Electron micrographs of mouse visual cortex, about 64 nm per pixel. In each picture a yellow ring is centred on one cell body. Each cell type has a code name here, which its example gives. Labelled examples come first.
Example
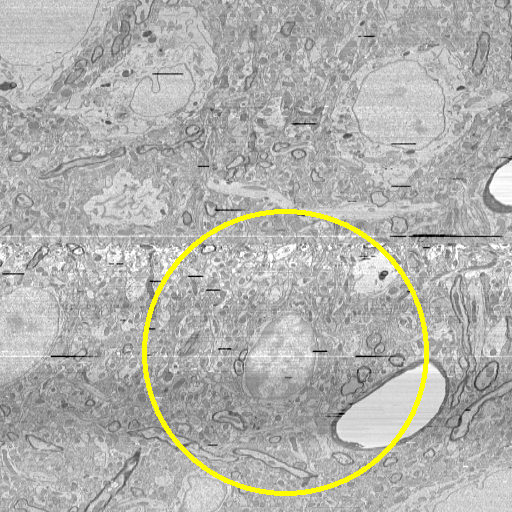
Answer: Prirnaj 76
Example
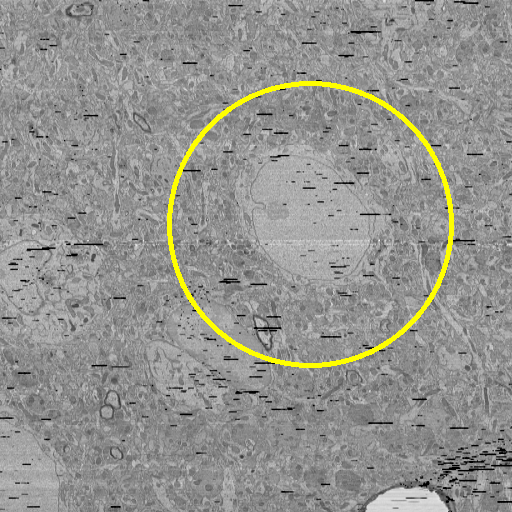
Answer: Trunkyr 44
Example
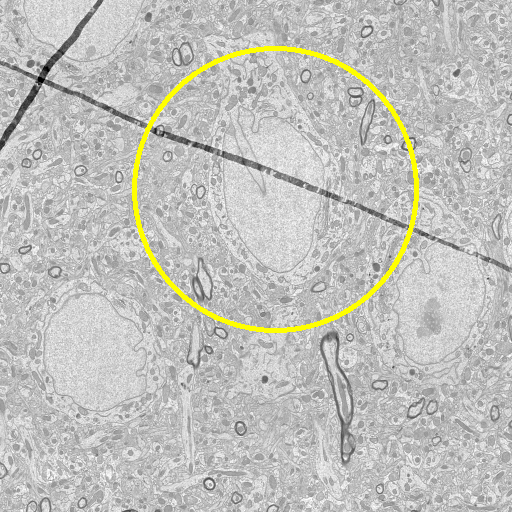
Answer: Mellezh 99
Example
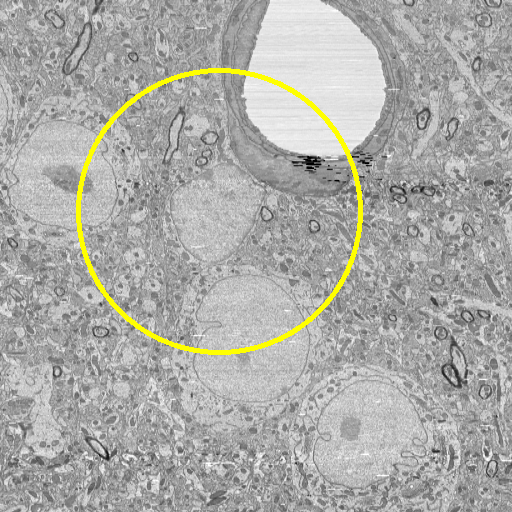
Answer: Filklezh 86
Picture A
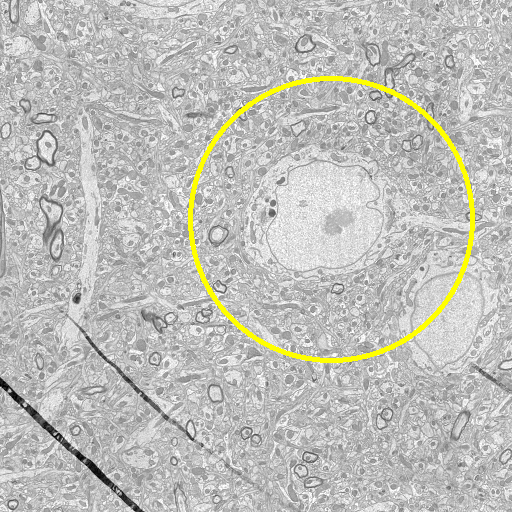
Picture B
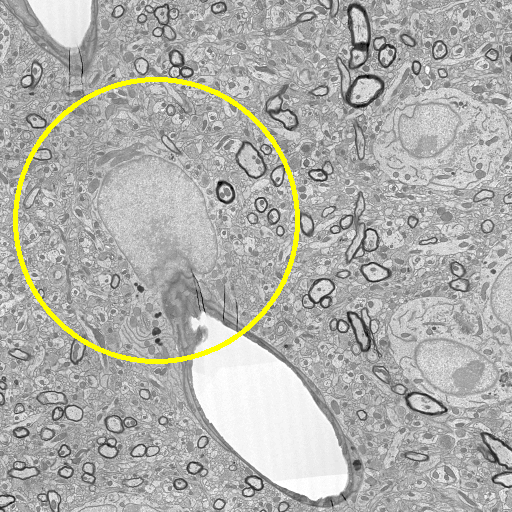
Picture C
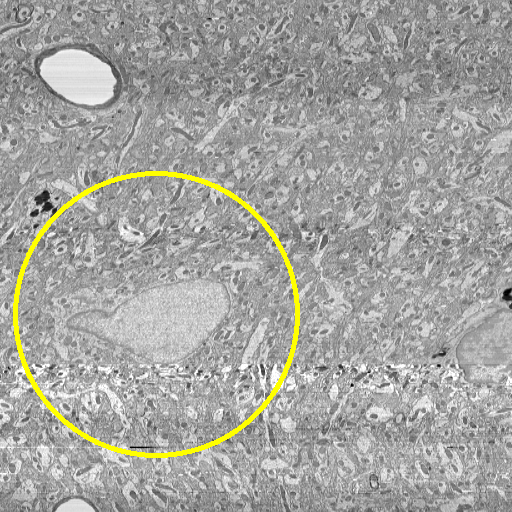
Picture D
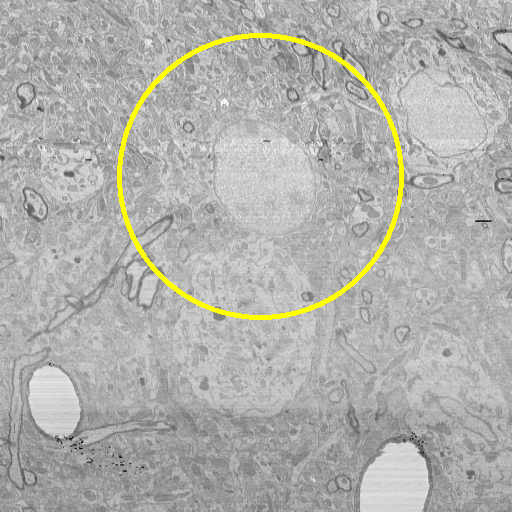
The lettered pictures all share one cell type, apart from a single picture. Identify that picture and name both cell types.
Odd one out: A (Trunkyr 44). The rest: Filklezh 86.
